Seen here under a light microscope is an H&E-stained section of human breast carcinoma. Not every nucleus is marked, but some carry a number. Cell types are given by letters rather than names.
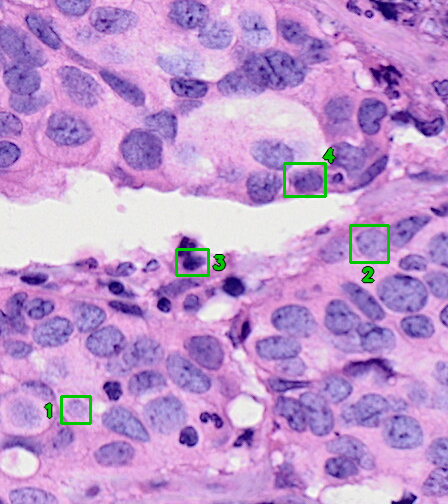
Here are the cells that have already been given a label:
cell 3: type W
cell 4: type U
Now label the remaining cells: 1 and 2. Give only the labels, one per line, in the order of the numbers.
type U
type U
